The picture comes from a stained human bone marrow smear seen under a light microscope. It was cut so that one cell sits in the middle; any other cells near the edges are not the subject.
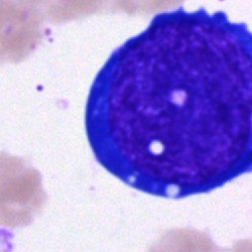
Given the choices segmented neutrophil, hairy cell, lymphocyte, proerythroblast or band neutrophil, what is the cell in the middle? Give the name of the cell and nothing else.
proerythroblast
